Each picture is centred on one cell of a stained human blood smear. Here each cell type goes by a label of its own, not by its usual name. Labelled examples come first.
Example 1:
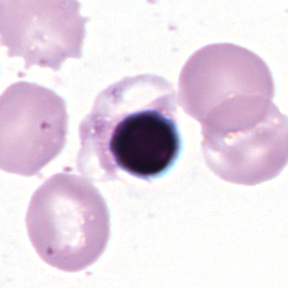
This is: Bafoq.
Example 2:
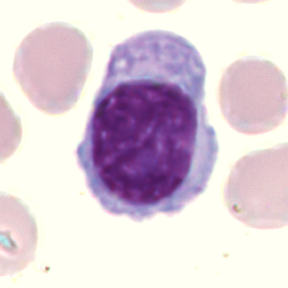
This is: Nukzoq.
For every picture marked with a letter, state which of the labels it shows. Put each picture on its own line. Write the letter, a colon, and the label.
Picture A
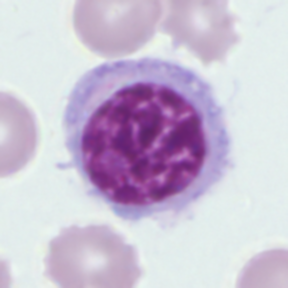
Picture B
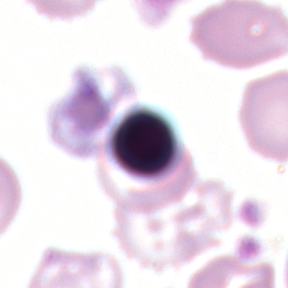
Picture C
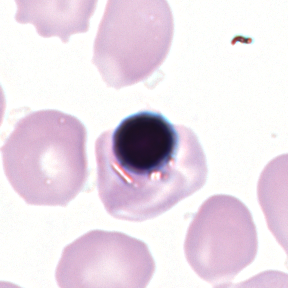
A: Nukzoq.
B: Bafoq.
C: Bafoq.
